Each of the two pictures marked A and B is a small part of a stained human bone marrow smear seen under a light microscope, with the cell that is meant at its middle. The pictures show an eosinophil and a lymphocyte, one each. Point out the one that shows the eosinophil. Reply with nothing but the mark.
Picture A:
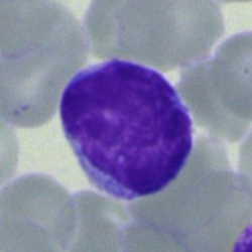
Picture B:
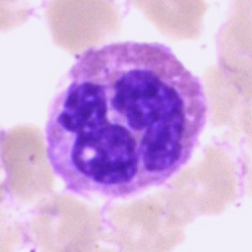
B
